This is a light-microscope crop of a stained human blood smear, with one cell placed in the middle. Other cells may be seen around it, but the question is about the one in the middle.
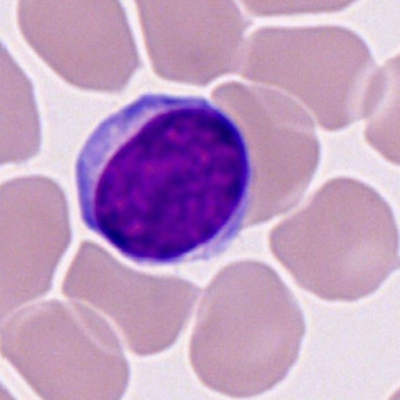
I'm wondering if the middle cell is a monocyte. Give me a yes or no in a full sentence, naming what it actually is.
No, rather than a monocyte, the central cell is a lymphocyte.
